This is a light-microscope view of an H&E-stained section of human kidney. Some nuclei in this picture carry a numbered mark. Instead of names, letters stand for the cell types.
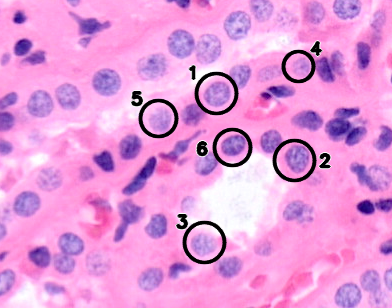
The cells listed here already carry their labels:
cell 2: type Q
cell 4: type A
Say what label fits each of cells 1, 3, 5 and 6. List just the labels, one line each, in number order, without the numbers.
type A
type Q
type A
type Q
